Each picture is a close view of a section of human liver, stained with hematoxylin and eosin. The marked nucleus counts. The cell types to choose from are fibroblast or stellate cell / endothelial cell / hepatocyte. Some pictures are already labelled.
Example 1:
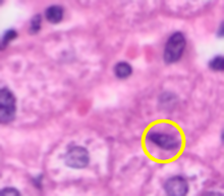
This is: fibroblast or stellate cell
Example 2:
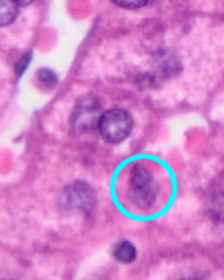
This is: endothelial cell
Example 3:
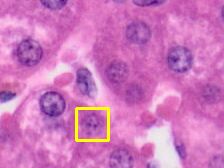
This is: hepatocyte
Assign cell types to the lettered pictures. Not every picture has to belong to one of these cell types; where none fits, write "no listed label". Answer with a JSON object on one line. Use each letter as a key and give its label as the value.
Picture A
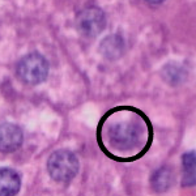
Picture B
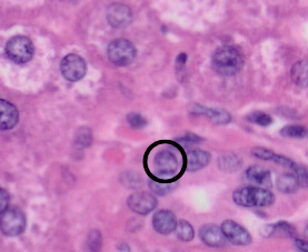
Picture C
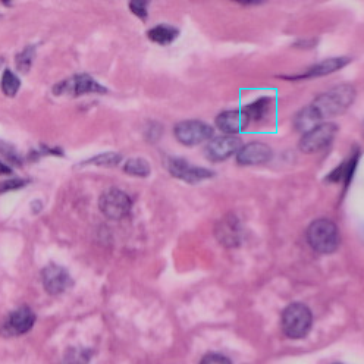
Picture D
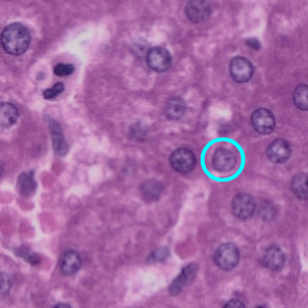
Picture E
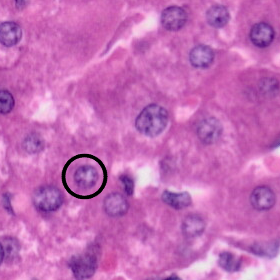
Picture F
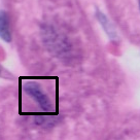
{"A": "hepatocyte", "B": "no listed label", "C": "no listed label", "D": "hepatocyte", "E": "hepatocyte", "F": "fibroblast or stellate cell"}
